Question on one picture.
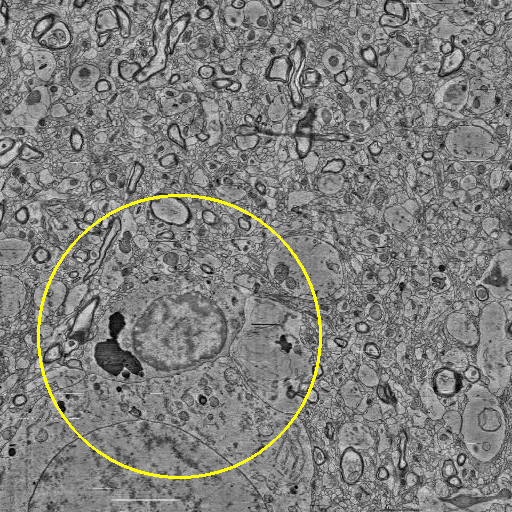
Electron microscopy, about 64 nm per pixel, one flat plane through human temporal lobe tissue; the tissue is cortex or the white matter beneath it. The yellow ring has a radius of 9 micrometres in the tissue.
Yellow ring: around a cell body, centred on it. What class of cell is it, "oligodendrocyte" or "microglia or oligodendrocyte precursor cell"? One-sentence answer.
This is an oligodendrocyte, the cell the ring is centred on.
